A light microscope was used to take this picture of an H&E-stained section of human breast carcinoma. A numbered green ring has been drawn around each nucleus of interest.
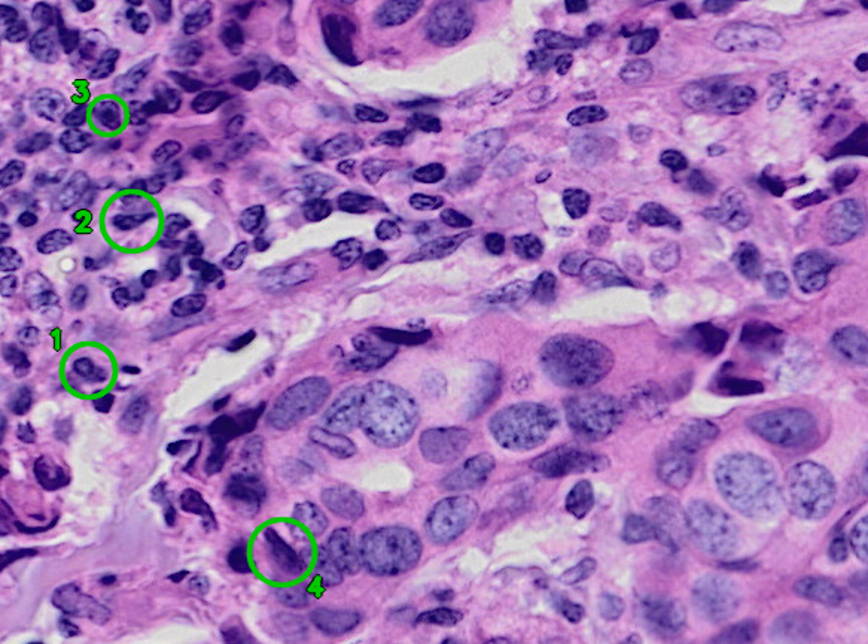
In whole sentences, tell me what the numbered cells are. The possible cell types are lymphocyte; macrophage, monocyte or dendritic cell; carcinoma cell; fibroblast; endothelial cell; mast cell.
Cells 1, 2 and 3 are lymphocytes. Cell 4 is a carcinoma cell.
